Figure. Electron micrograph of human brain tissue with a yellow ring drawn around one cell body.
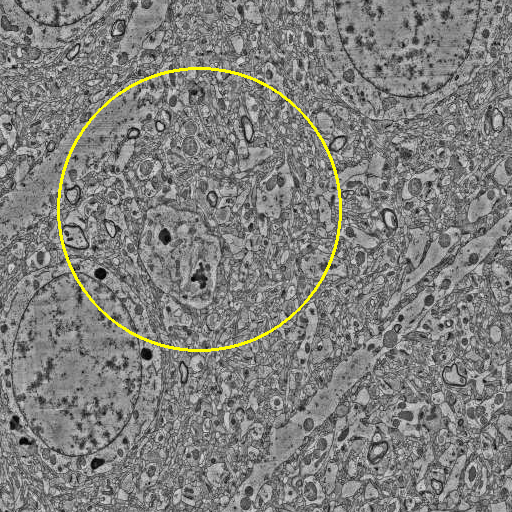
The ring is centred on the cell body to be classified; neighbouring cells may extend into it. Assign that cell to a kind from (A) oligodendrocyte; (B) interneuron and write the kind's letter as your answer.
B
